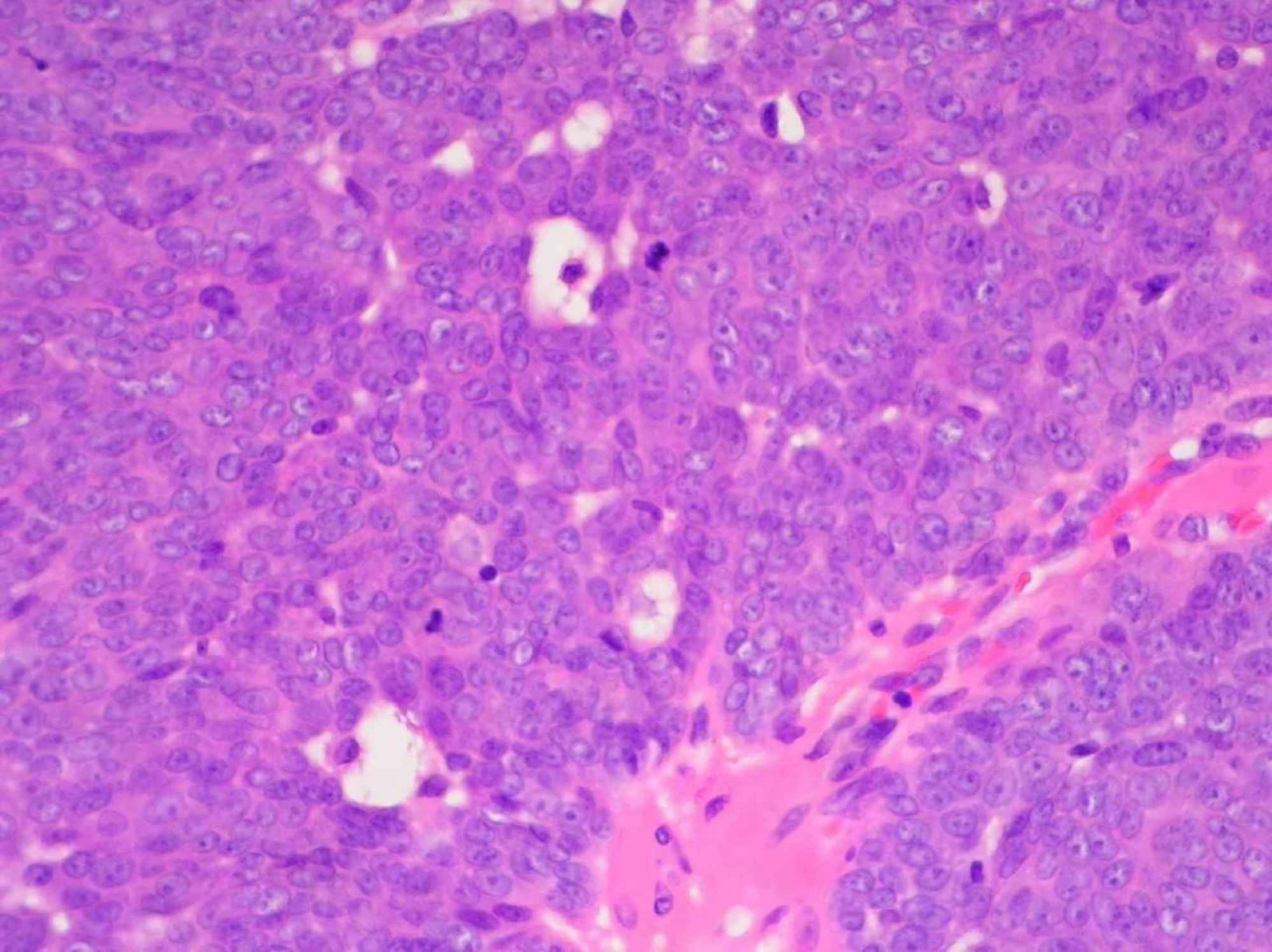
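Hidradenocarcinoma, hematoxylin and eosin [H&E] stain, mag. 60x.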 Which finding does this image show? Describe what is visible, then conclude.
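Clear vacuolated spaces. Scattered small empty white spaces among the tumour cells. Spaces are round to irregular and unstained.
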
